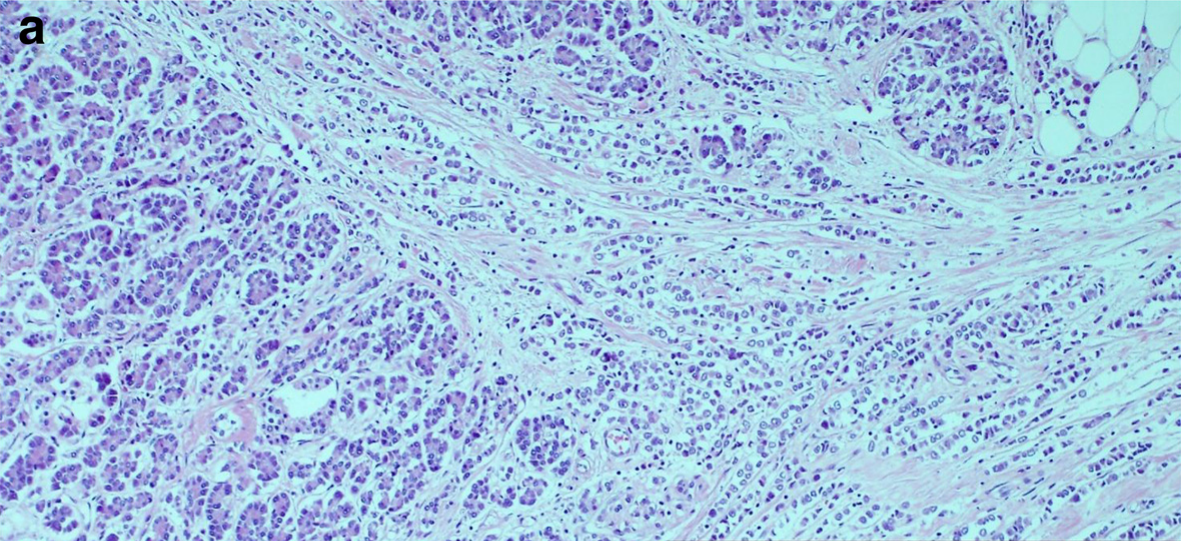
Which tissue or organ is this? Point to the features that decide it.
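Pancreatic parenchyma. Lobules of acini made of pyramidal cells around small lumens fill the left part.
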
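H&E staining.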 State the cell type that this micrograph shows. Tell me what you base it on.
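Small disaggregated tumor cells. Small cells with round nuclei lie singly and in thin files between pink fibrous bands. These cells are not arranged in acini and lie apart from one another.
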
